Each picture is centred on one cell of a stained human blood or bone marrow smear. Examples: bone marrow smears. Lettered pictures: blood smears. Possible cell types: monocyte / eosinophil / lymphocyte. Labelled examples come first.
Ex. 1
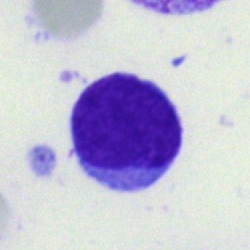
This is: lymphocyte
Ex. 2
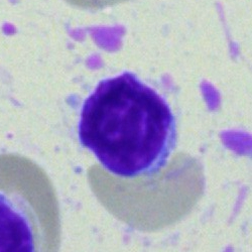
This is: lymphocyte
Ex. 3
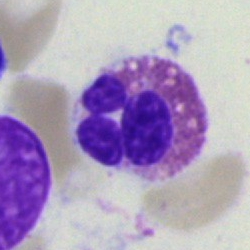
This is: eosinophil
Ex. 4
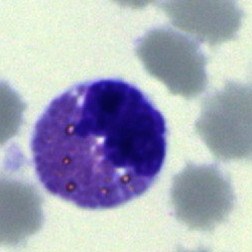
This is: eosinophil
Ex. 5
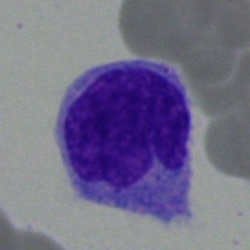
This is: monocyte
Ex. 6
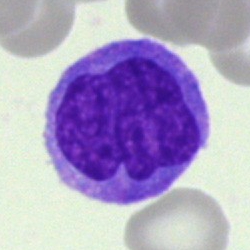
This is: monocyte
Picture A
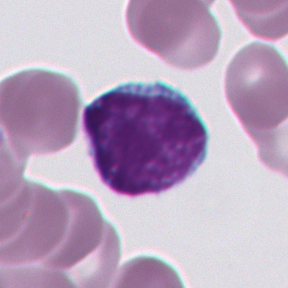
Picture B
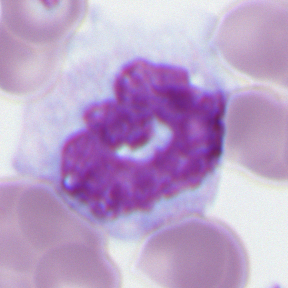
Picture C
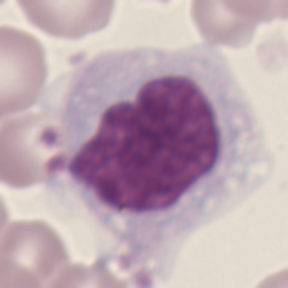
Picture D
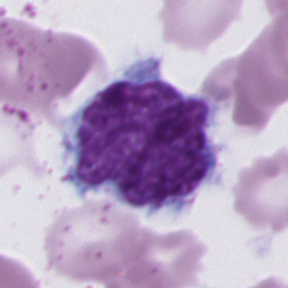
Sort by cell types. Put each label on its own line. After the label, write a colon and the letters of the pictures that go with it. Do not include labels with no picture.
monocyte: B, C, D
lymphocyte: A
